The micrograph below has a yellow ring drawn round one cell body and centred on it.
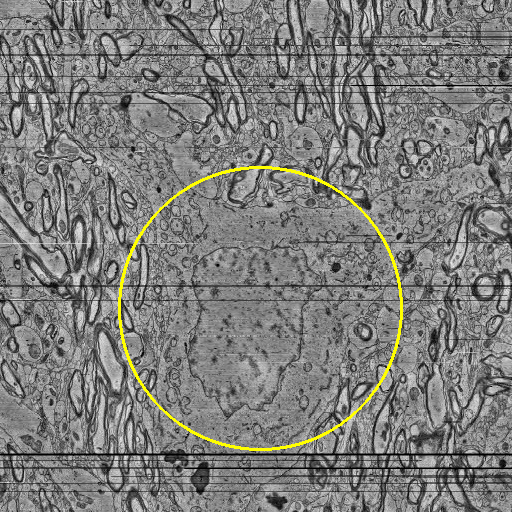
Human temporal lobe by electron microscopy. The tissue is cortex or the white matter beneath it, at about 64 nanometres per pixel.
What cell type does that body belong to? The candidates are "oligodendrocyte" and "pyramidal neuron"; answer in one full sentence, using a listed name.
This is a pyramidal neuron, the cell whose body lies at the centre of the ring.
